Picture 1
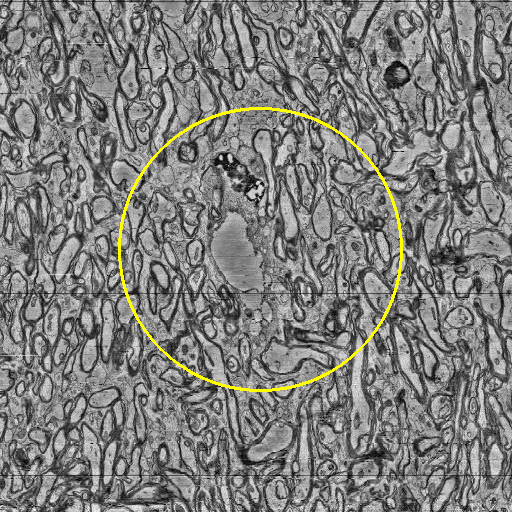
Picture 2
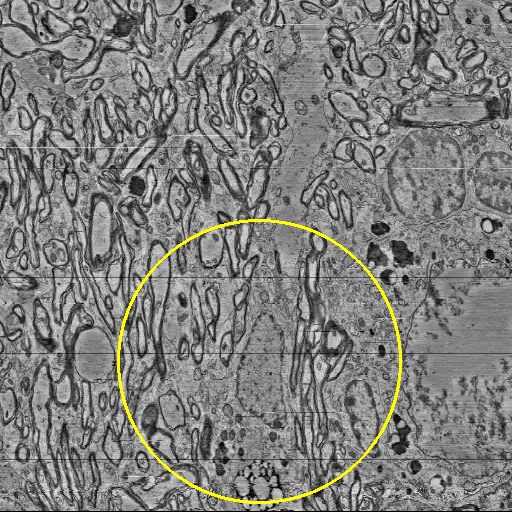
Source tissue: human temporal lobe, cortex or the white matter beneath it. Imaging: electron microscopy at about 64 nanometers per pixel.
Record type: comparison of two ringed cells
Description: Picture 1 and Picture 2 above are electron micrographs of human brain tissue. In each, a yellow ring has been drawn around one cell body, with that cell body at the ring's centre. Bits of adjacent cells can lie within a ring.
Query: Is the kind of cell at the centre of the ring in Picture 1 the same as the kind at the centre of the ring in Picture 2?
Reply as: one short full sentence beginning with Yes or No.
Yes, the two ringed cells are of the same kind.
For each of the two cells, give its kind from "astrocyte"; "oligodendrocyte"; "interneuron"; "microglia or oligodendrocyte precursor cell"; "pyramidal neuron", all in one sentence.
Each one of the two ringed cells is an astrocyte.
